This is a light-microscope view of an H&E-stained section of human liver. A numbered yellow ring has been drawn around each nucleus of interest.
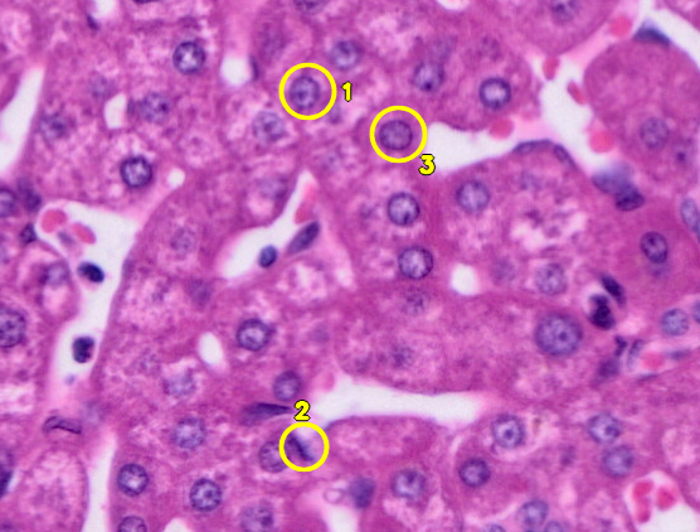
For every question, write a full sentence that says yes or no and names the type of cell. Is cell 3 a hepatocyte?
Yes, that is correct: the cell numbered 3 is a hepatocyte.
